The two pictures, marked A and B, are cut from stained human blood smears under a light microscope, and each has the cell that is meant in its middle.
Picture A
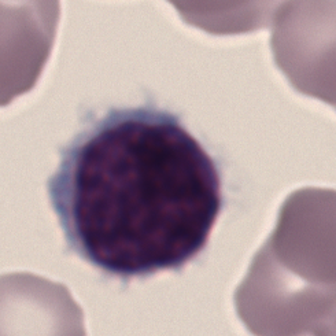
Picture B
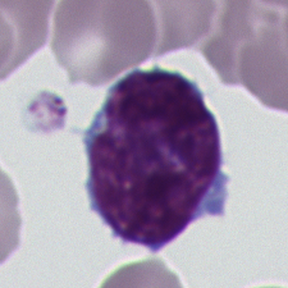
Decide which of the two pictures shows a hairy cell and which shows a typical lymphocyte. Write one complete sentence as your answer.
Picture B shows a typical lymphocyte, while picture A shows a hairy cell.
